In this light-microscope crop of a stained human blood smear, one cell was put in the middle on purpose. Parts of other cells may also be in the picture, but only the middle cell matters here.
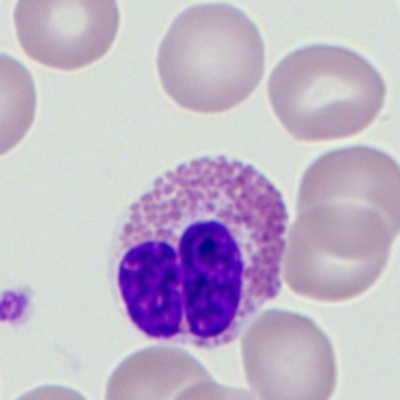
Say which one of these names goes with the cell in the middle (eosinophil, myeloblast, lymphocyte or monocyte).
eosinophil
